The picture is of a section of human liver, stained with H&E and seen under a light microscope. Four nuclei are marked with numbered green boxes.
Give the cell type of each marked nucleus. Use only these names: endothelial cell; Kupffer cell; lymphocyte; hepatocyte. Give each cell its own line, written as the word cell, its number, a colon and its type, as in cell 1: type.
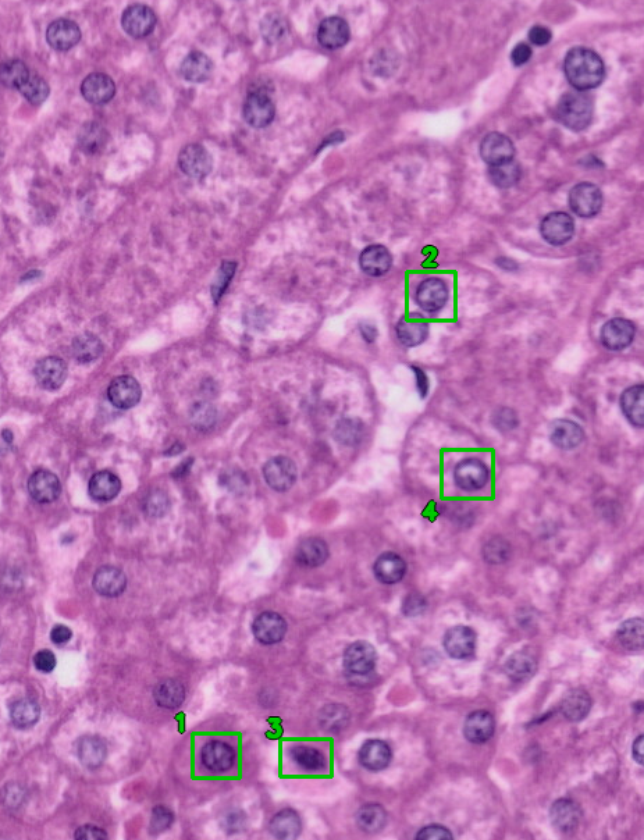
cell 1: hepatocyte
cell 2: hepatocyte
cell 3: Kupffer cell
cell 4: hepatocyte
